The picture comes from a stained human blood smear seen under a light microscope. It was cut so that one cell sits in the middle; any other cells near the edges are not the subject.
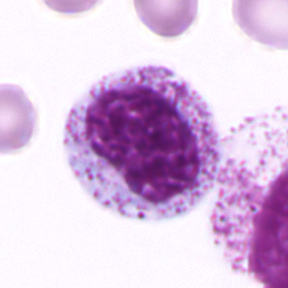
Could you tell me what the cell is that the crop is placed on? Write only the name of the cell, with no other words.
metamyelocyte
